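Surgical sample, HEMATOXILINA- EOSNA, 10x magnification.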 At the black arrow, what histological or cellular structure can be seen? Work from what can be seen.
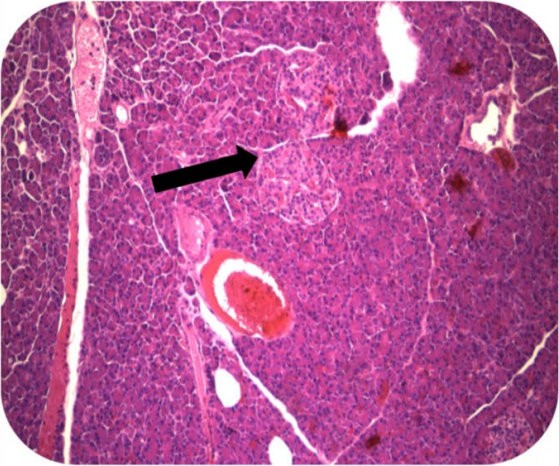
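The arrow points at a rounded, paler-staining cluster of cells set within darker purple acinar tissue.
Conclusion: islets of Langerhans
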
